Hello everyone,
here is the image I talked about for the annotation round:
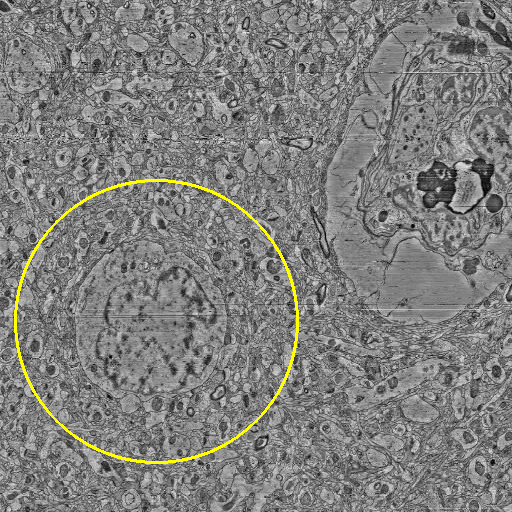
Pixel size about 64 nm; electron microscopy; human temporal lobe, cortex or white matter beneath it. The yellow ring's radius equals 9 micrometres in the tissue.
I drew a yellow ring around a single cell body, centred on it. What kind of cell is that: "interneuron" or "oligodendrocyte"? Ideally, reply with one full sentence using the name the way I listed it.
The cell your yellow ring is centred on is an interneuron, going by your list.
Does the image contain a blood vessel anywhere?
Yes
